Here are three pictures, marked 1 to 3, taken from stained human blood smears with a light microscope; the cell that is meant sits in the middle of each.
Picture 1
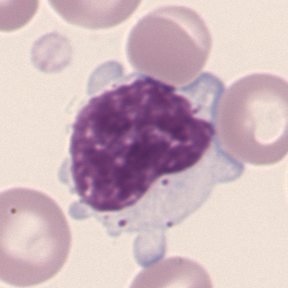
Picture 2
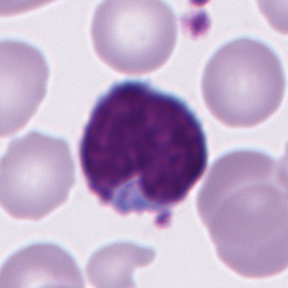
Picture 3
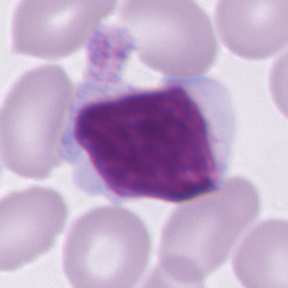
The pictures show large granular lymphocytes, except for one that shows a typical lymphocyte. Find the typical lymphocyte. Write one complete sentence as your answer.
The picture with the typical lymphocyte is 2.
